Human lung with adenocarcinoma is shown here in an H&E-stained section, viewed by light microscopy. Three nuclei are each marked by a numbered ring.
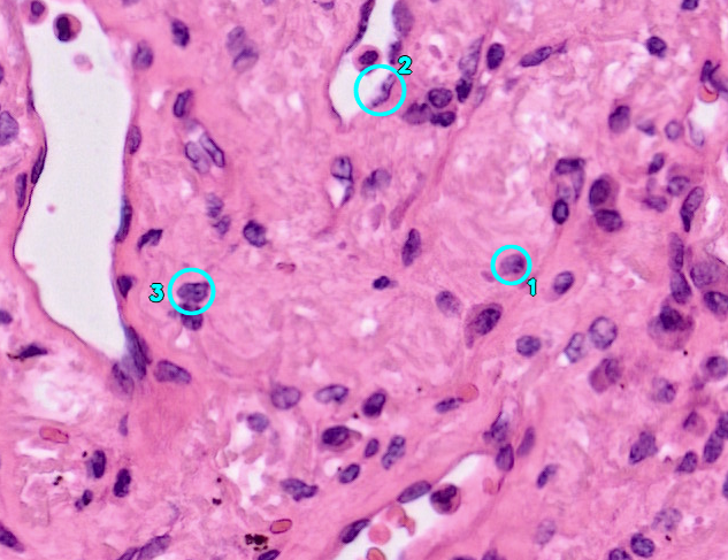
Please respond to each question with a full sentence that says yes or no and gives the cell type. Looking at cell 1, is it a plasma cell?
Yes, the cell bearing the number 1 is a plasma cell.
